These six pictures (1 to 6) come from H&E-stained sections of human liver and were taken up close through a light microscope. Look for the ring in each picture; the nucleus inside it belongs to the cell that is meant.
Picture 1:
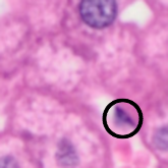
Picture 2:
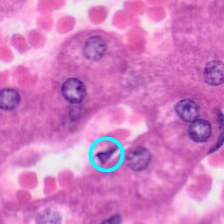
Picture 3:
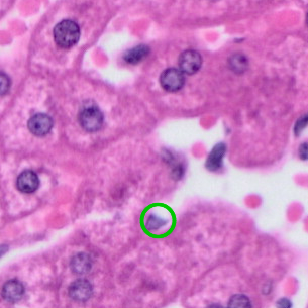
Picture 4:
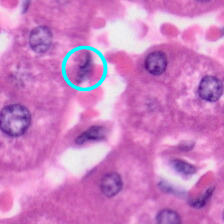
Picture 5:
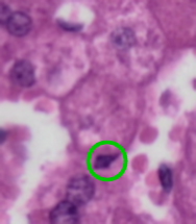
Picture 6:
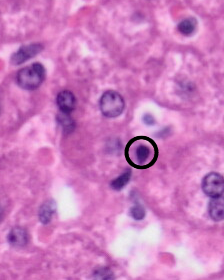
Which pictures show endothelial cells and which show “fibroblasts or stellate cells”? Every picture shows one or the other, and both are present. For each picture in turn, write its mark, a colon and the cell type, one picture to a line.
1: endothelial cell
2: endothelial cell
3: endothelial cell
4: endothelial cell
5: fibroblast or stellate cell
6: fibroblast or stellate cell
